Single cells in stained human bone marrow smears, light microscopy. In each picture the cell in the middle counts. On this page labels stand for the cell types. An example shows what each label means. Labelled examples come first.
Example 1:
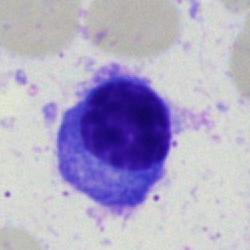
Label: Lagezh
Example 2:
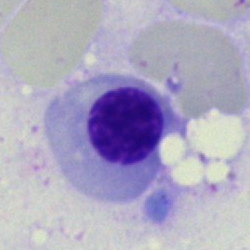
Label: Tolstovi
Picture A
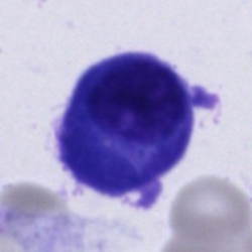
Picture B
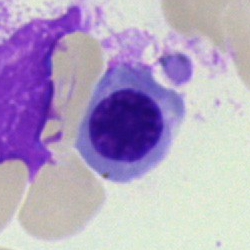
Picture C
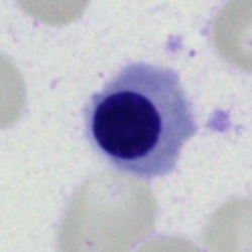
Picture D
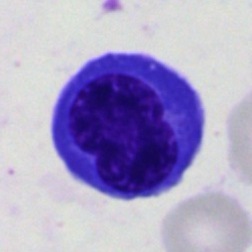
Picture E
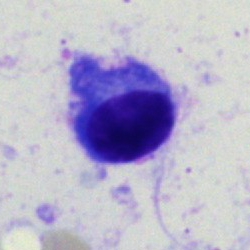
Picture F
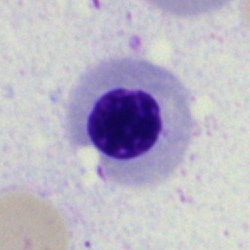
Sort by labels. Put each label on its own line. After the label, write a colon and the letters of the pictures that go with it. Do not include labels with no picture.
Lagezh: A, D, E
Tolstovi: B, C, F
